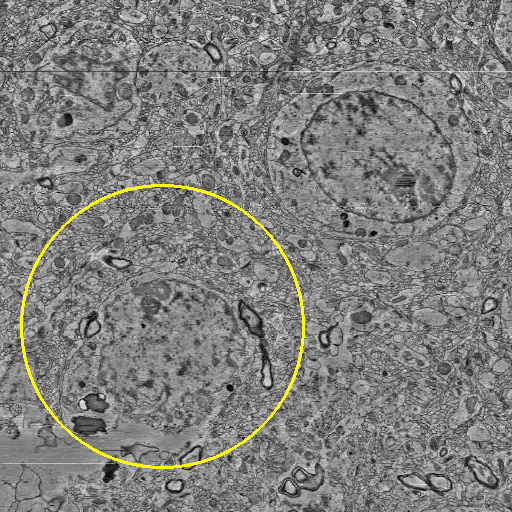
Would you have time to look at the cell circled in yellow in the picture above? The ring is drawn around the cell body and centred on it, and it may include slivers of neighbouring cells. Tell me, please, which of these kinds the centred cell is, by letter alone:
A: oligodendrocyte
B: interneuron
B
